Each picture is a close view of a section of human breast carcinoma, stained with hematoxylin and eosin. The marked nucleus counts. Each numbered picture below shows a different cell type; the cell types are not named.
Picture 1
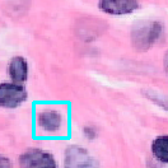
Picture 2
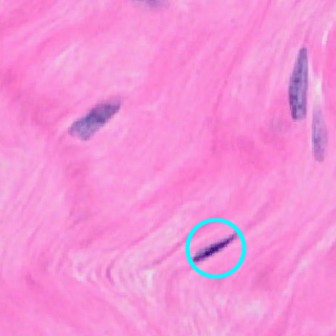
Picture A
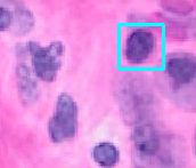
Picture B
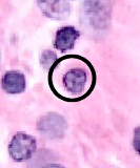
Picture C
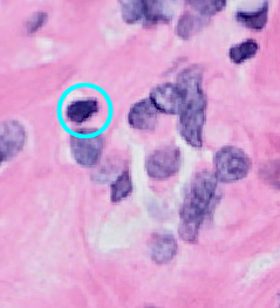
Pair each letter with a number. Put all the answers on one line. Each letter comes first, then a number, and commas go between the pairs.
A 1, B 1, C 1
